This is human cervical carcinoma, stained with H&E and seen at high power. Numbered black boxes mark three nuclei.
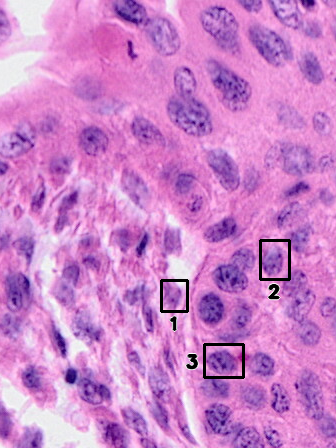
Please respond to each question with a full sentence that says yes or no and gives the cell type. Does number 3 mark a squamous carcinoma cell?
Yes, the numbered cell 3 is a squamous carcinoma cell.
